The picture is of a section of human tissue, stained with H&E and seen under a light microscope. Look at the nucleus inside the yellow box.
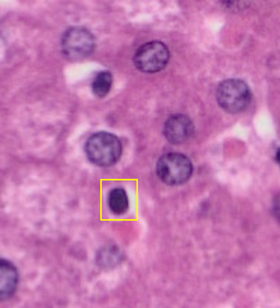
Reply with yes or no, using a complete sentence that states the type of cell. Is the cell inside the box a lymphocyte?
Yes, the cell inside the box is a lymphocyte; nothing to add.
